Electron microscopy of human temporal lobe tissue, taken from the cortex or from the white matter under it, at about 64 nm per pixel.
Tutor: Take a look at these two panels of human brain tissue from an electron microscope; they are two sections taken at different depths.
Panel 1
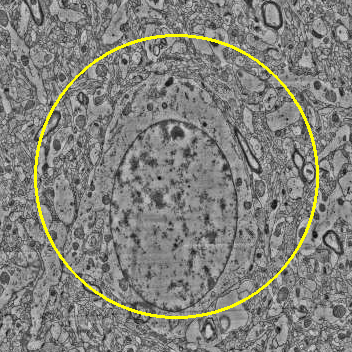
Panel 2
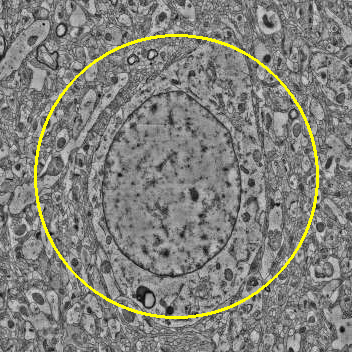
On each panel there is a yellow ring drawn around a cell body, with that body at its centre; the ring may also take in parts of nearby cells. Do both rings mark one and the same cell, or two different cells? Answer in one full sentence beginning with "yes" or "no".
No, in this micrograph the two rings mark two different cells.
